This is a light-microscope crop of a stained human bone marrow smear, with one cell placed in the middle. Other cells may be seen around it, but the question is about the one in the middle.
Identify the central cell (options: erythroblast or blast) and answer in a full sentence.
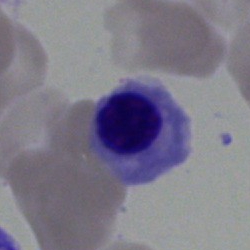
In the center of this field lies an erythroblast.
